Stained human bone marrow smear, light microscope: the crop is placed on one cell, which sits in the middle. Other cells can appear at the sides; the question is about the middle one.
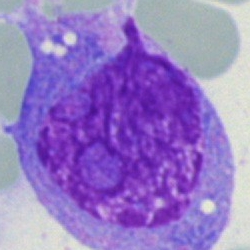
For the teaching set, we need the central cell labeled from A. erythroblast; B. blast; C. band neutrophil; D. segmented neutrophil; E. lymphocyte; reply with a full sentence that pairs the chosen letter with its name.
Option B correctly names the cell in the middle as a blast.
